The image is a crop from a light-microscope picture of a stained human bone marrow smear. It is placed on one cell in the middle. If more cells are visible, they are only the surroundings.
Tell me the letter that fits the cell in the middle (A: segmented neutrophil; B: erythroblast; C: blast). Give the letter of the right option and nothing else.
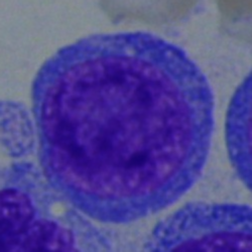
C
